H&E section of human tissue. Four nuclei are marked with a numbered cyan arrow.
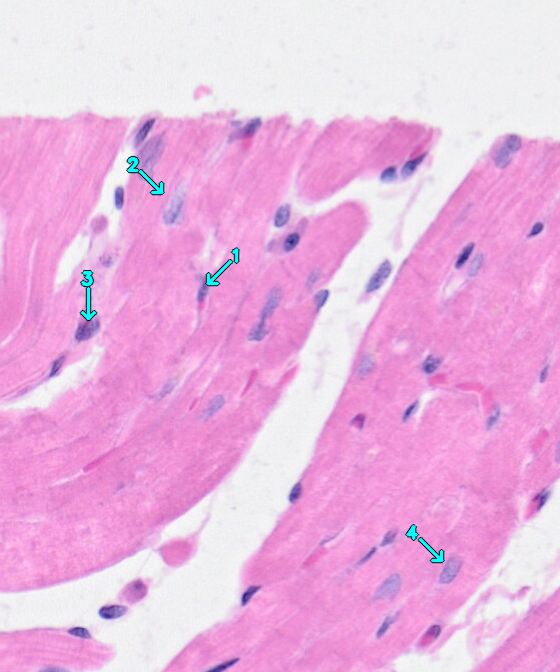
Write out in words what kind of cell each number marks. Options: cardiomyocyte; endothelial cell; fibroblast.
Cell 1 is an endothelial cell, cell 2 is a cardiomyocyte, cell 3 is a fibroblast and cell 4 is a cardiomyocyte.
